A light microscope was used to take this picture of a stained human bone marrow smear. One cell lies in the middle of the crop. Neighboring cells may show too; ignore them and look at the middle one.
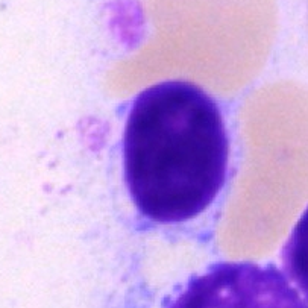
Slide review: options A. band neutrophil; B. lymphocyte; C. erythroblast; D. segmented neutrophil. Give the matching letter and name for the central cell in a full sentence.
Option B is accurate; the centrally placed cell is a lymphocyte.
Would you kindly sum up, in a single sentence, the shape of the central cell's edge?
The cell is bounded by a ragged or projection-bearing margin rather than a smooth one.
